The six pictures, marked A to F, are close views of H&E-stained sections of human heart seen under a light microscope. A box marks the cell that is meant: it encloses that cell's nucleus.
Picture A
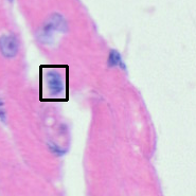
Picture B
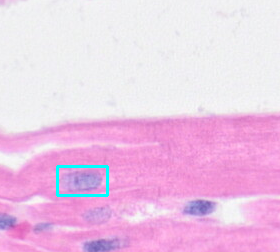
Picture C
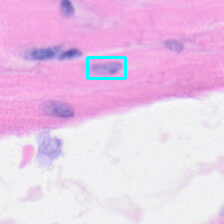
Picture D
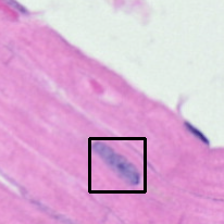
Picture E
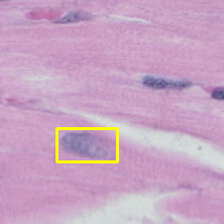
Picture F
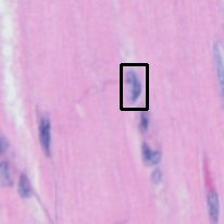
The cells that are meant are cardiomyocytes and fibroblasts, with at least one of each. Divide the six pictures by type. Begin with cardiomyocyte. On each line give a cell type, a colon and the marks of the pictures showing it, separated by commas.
cardiomyocyte: B, C, D, E
fibroblast: A, F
